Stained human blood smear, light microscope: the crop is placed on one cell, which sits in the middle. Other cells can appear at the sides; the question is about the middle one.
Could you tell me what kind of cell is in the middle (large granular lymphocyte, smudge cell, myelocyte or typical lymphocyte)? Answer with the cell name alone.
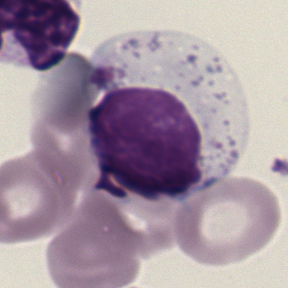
large granular lymphocyte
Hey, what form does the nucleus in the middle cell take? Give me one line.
In this cell the nucleus is a solitary compact mass, round, oval or kidney-shaped.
